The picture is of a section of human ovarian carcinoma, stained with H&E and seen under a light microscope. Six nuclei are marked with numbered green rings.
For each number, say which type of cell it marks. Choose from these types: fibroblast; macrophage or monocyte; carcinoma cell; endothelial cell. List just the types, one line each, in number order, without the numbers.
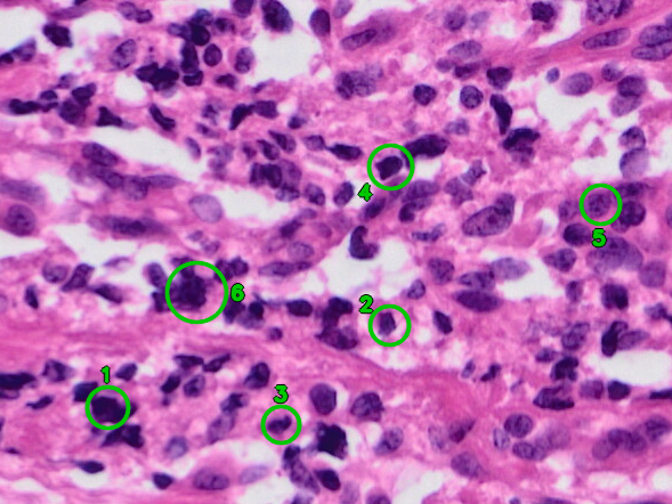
carcinoma cell
macrophage or monocyte
macrophage or monocyte
carcinoma cell
carcinoma cell
carcinoma cell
